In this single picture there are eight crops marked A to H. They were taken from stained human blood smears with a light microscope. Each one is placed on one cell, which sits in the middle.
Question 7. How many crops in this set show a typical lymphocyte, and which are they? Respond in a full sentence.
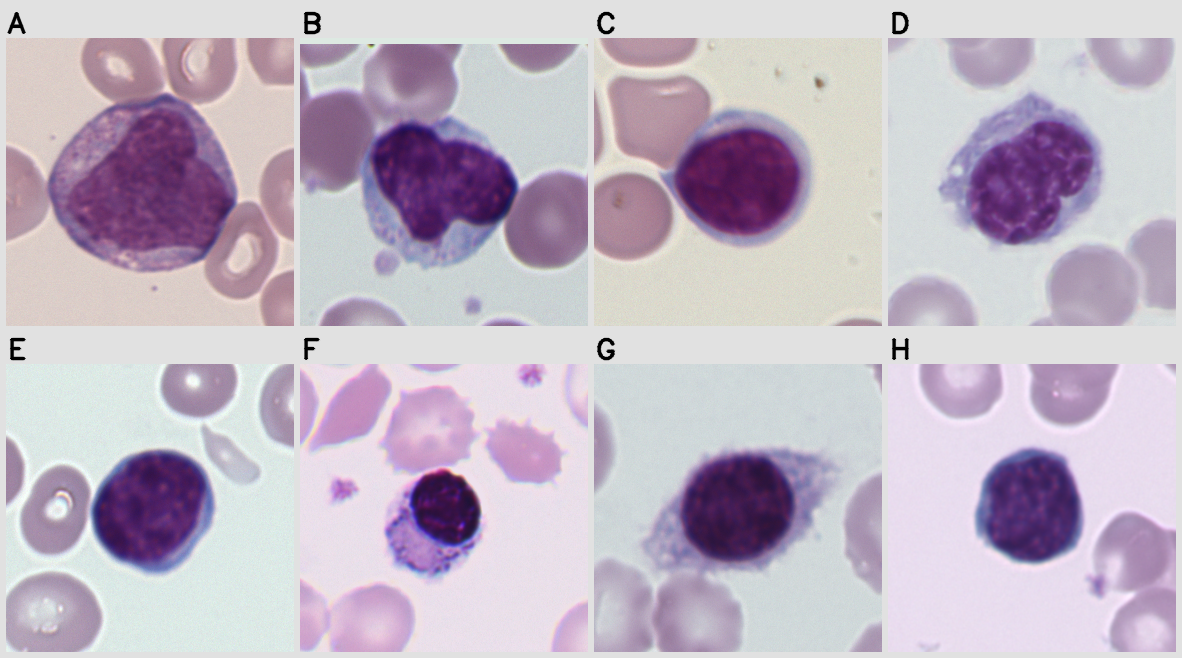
The four crops in which typical lymphocytes are shown are B, C, E and H.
